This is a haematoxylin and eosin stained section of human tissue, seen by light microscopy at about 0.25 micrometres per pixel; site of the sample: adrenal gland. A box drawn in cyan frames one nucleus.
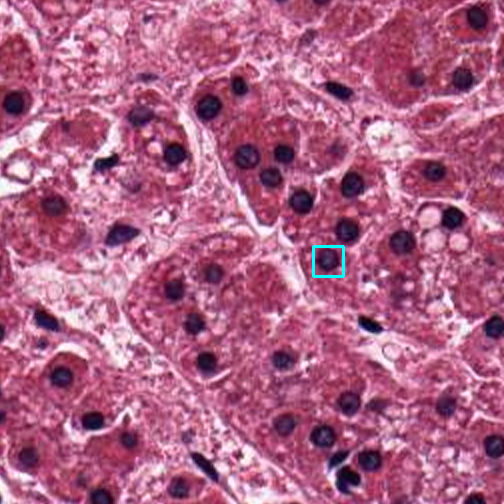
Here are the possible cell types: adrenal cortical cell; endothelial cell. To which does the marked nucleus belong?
adrenal cortical cell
